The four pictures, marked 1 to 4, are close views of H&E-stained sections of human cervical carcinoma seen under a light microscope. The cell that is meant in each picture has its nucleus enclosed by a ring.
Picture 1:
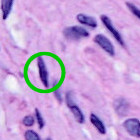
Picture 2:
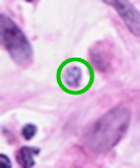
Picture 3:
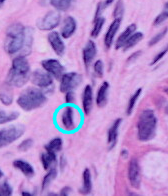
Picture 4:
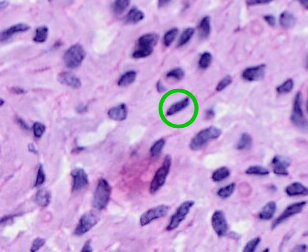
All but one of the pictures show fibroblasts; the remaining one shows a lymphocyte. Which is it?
2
